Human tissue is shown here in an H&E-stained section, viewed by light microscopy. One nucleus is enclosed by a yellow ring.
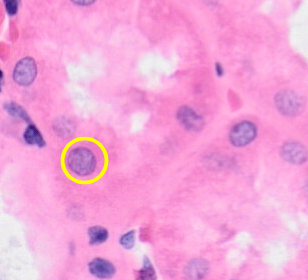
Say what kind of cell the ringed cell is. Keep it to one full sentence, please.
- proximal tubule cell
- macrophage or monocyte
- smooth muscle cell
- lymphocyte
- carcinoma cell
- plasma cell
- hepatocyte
As a matter of cell type, the ringed cell is a proximal tubule cell.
